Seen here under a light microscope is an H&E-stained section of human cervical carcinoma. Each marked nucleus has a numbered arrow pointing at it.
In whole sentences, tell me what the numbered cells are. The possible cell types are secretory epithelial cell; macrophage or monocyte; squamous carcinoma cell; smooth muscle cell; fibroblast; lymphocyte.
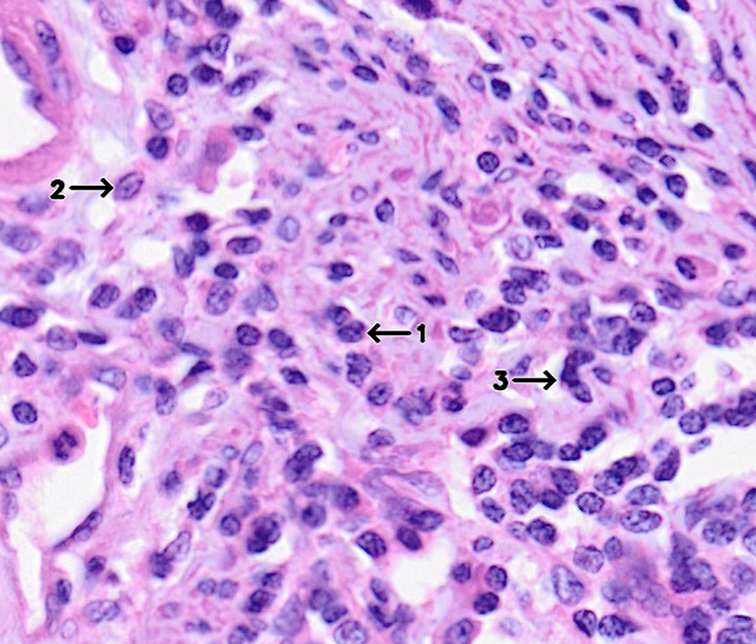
Cells 1 and 3 are lymphocytes. Cell 2 is a macrophage or monocyte.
